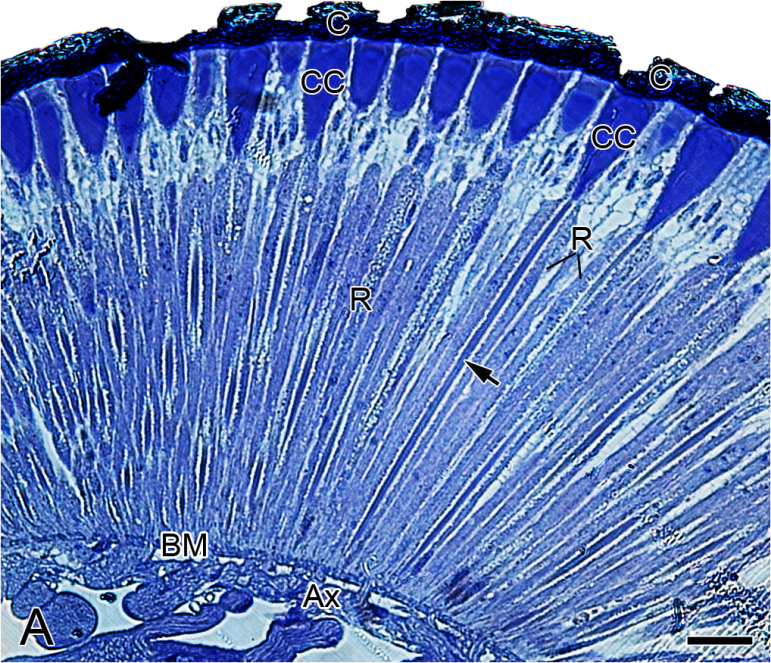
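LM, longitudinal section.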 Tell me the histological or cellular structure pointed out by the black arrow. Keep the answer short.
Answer: Rhabdom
